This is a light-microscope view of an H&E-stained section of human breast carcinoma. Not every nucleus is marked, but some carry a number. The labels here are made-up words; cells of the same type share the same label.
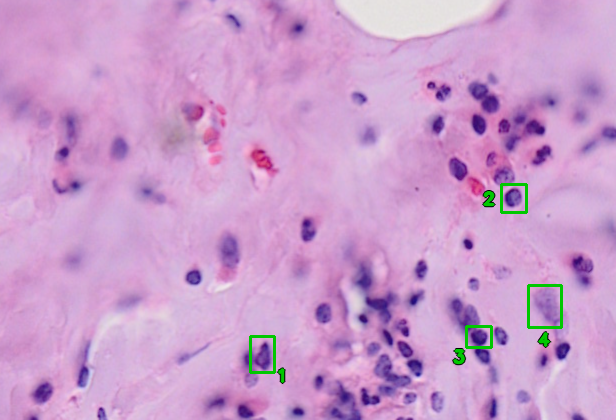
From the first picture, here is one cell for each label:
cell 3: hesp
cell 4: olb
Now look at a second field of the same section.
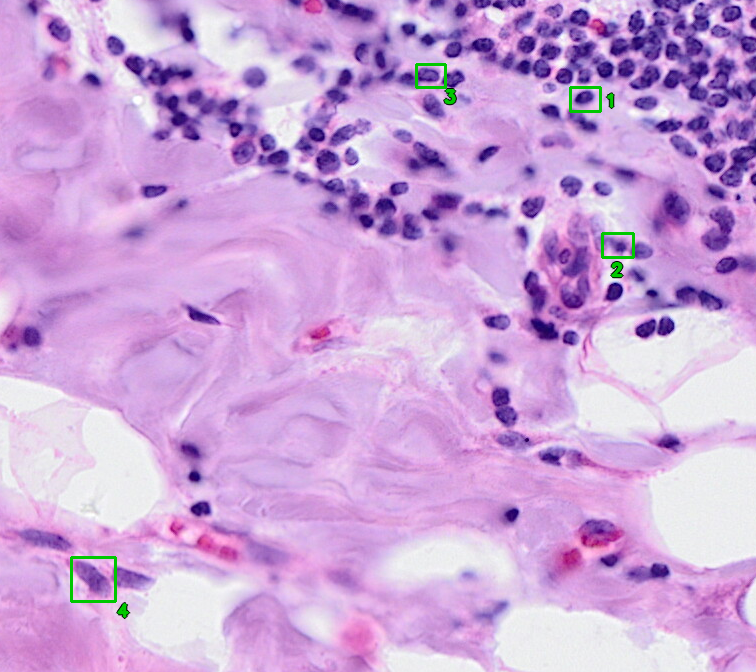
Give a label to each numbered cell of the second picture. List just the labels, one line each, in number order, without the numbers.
hesp
hesp
hesp
olb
